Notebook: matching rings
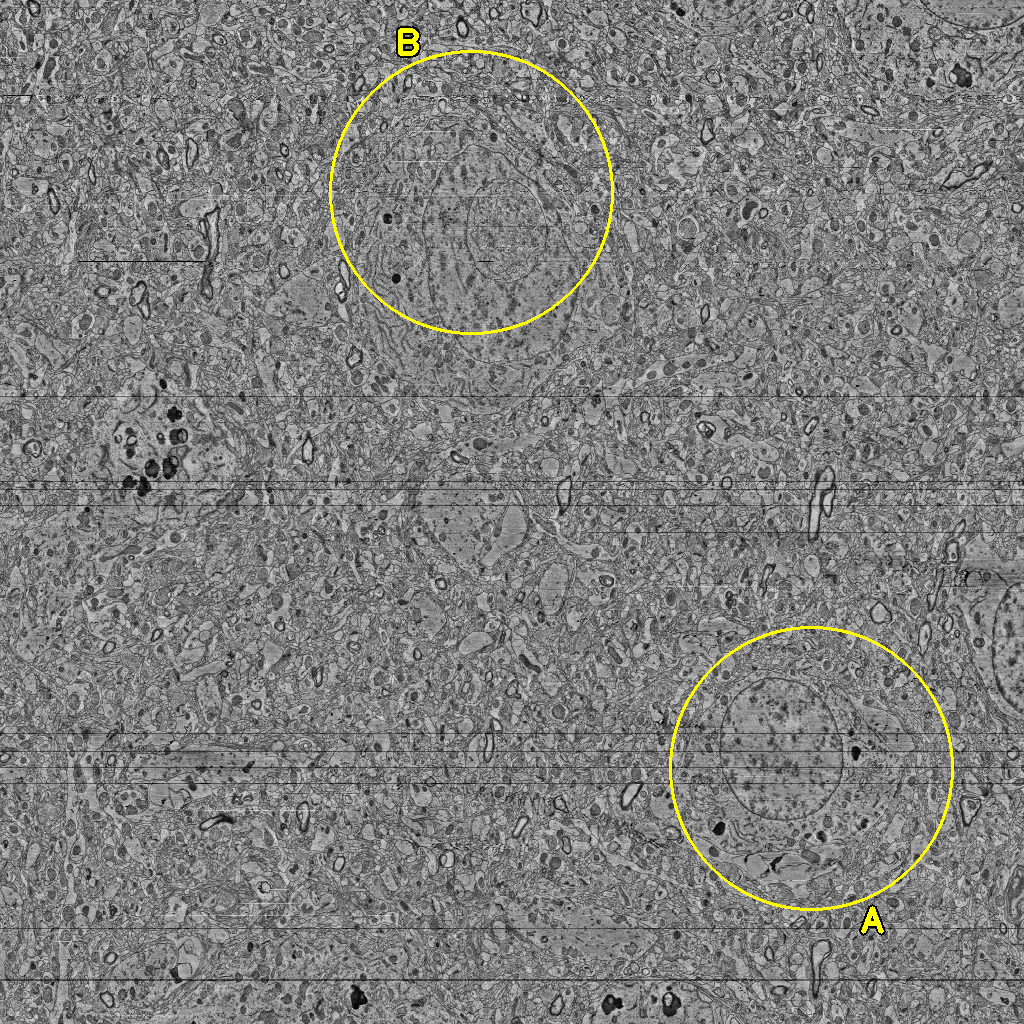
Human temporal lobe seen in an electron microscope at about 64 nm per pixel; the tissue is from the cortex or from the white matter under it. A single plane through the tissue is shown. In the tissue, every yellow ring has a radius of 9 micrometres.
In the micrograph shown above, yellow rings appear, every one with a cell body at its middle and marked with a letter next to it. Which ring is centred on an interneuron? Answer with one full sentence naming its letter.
A cell of that kind lies at the centre of the ring lettered B.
